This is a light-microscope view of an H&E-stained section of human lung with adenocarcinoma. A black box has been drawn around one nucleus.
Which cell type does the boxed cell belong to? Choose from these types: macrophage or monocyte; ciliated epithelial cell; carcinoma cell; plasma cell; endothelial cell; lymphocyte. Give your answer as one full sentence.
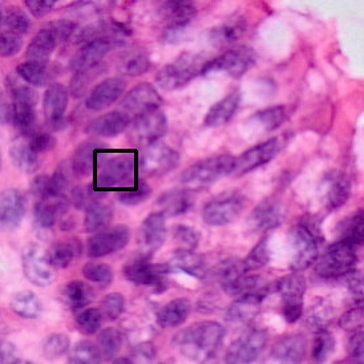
The boxed cell appears to be a ciliated epithelial cell.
